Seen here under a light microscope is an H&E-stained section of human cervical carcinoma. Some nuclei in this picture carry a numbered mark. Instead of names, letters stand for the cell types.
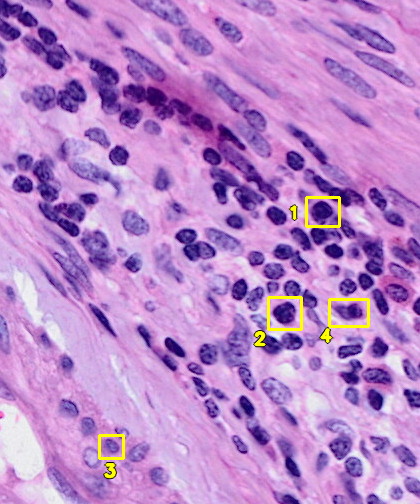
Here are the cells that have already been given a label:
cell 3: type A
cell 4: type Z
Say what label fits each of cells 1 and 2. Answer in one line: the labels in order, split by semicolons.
type Z; type Z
